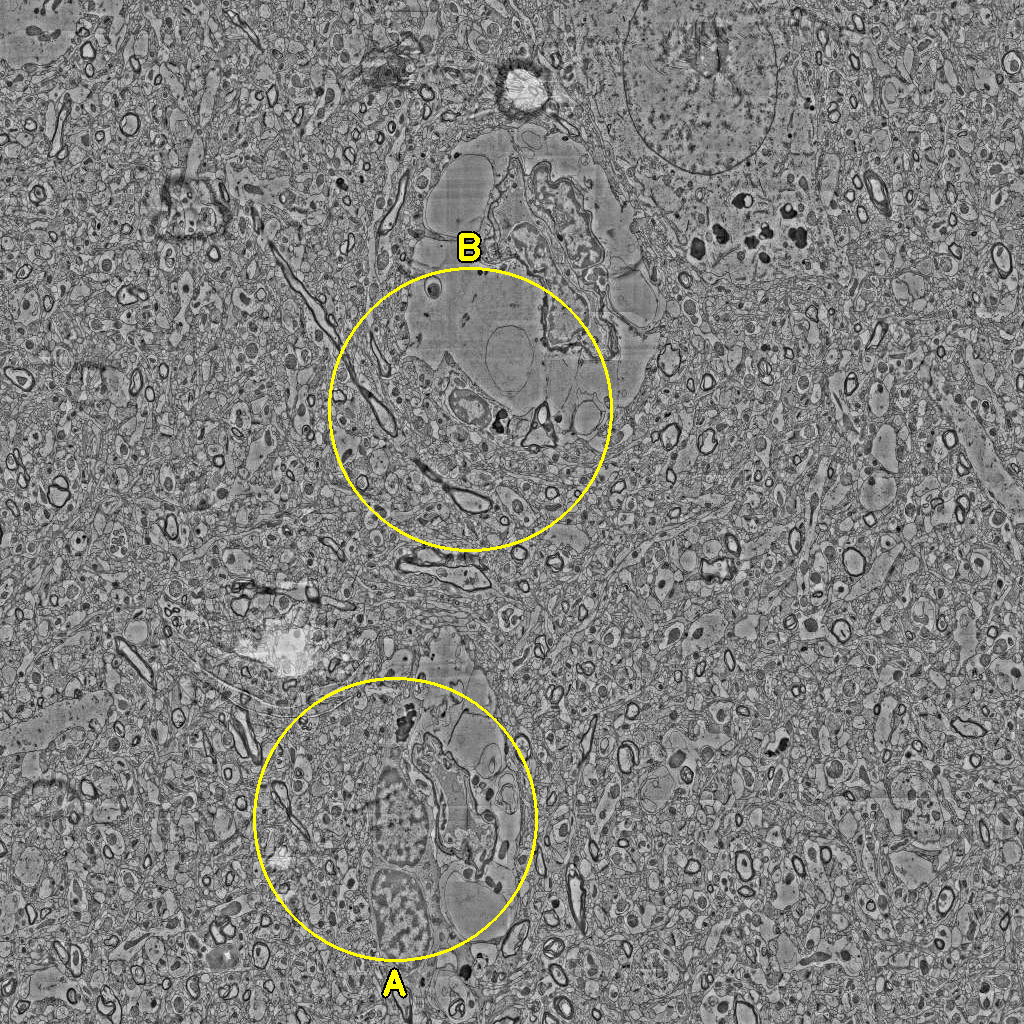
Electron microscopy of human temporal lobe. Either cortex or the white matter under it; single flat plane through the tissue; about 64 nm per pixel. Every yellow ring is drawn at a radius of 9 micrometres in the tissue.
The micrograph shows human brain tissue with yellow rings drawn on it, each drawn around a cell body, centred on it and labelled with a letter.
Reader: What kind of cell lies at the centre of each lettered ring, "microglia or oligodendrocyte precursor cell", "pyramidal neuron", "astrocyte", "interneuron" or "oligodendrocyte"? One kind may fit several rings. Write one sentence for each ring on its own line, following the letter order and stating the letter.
At the centre of ring A lies an oligodendrocyte.
At the centre of ring B lies a microglial cell or oligodendrocyte precursor cell.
